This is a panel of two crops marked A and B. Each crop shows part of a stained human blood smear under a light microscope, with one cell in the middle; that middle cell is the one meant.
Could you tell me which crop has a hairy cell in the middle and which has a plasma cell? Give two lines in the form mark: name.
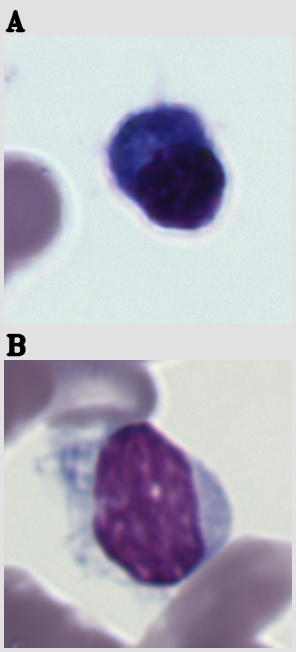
A: plasma cell
B: hairy cell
